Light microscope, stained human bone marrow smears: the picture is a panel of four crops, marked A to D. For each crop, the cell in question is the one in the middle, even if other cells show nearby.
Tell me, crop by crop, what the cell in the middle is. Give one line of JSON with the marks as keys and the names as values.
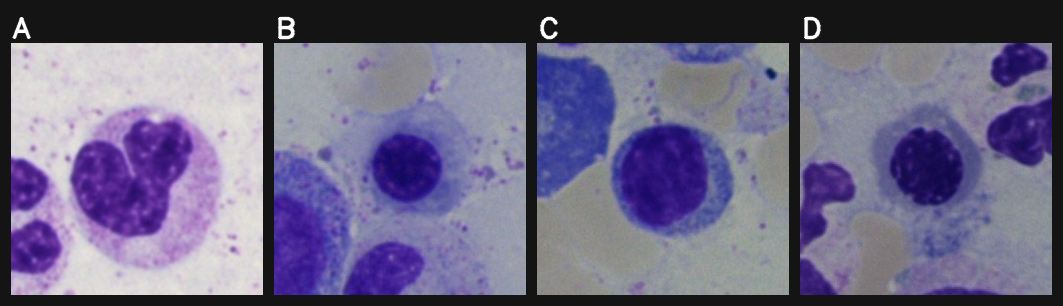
{"A": "band neutrophil", "B": "normoblast", "C": "lymphocyte", "D": "normoblast"}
